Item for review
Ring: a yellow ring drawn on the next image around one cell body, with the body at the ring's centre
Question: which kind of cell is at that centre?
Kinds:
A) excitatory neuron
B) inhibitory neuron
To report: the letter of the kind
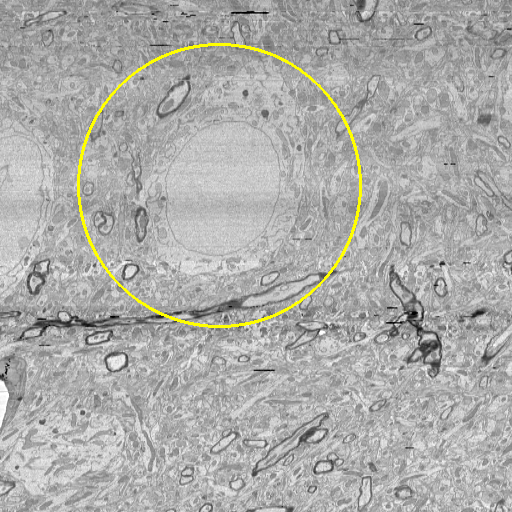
A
